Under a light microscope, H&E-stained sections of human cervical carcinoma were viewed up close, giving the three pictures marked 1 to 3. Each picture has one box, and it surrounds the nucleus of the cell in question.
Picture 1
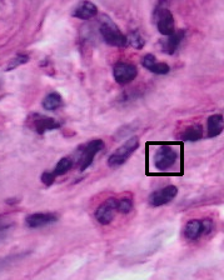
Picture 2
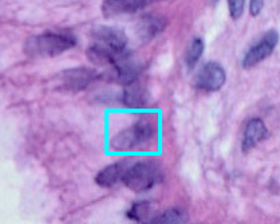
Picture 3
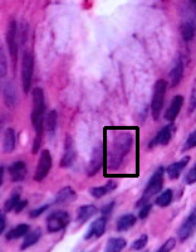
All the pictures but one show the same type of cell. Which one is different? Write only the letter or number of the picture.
1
